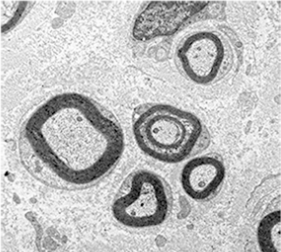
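The fibers vary in size: one large fiber on the left has a thick, even sheath, while smaller fibers to the right have thinner rings, and one shows a double ring. The fibers lie close together in a group, separated by a pale, finely granular background with thin cell processes between them. The sheaths look compact and sharply outlined against the surrounding tissue.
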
